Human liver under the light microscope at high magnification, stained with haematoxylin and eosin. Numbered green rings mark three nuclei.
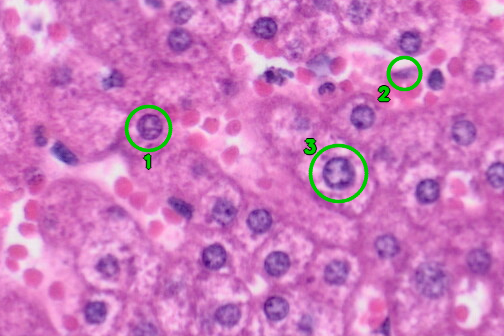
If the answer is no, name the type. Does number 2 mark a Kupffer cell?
Yes.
